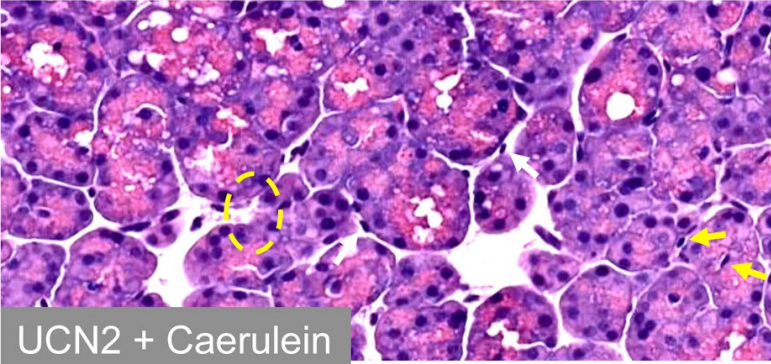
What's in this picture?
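Pancreatic acinar tissue with closely packed acini of cells that have round purple nuclei set toward the base and pink granular cytoplasm toward the lumen. Some acini hold clear vacuoles and dilated lumina, and the interstitium between them is narrow with a few small dark nuclei.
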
